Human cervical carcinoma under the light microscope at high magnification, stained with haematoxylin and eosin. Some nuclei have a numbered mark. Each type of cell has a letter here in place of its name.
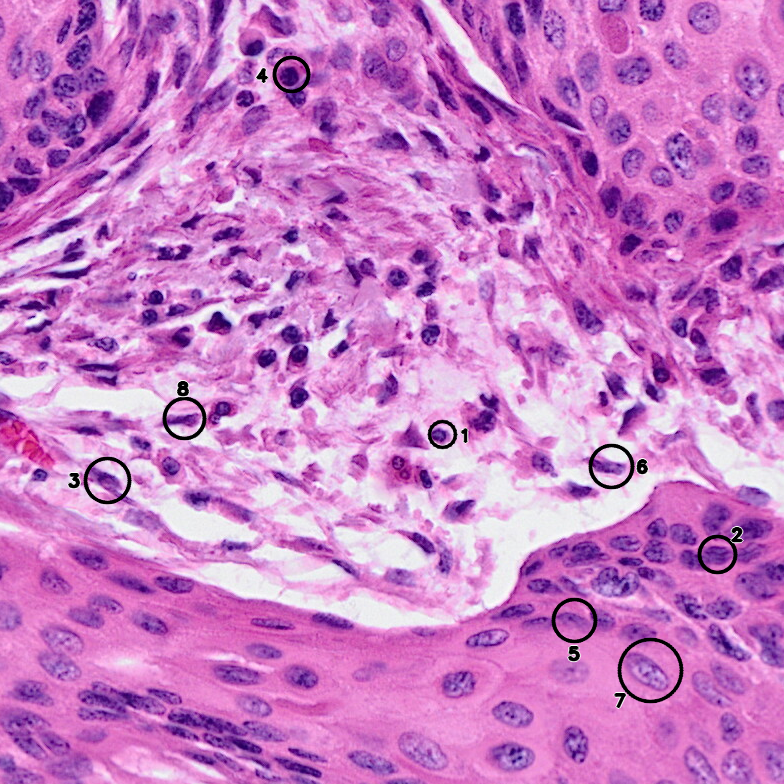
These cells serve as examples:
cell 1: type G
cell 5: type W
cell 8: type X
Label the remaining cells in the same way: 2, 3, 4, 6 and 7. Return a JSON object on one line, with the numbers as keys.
{"2": "type W", "3": "type X", "4": "type G", "6": "type X", "7": "type W"}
